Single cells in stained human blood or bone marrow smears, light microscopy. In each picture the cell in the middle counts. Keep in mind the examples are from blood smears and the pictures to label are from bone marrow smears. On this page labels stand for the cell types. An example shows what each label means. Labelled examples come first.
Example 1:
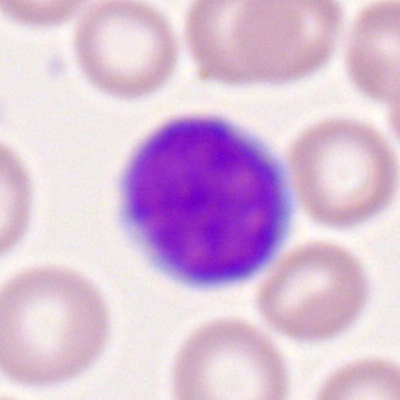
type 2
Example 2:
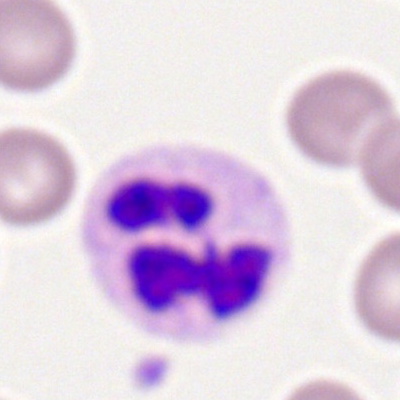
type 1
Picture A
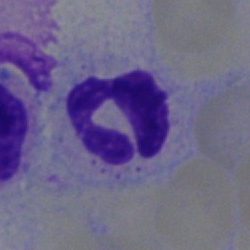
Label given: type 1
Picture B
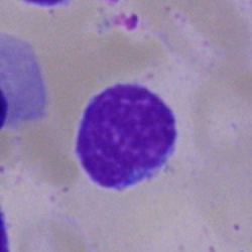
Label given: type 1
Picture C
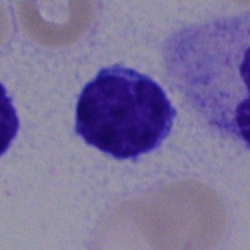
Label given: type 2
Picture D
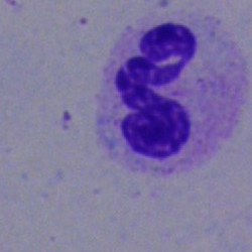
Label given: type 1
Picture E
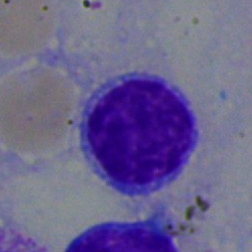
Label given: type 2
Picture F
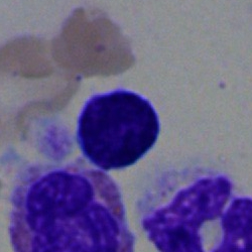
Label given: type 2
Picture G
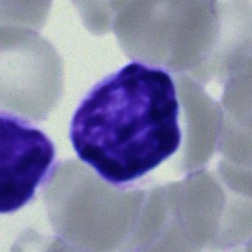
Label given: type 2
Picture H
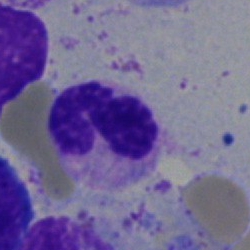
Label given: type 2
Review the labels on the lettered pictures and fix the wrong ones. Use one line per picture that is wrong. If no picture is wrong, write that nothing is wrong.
B: not type 1 but type 2
H: not type 2 but type 1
